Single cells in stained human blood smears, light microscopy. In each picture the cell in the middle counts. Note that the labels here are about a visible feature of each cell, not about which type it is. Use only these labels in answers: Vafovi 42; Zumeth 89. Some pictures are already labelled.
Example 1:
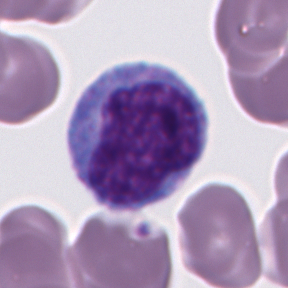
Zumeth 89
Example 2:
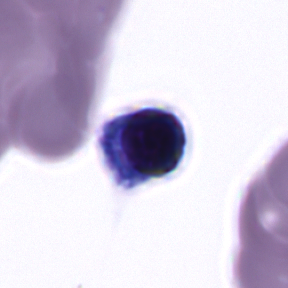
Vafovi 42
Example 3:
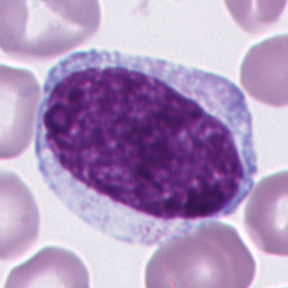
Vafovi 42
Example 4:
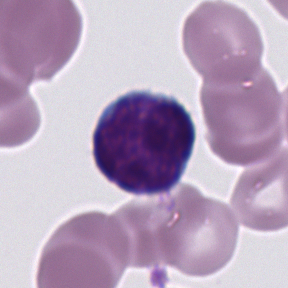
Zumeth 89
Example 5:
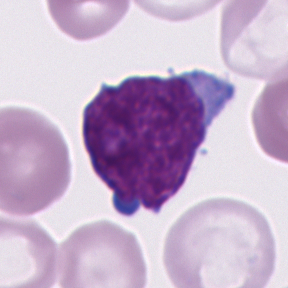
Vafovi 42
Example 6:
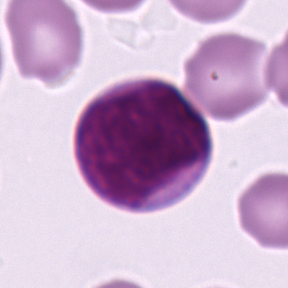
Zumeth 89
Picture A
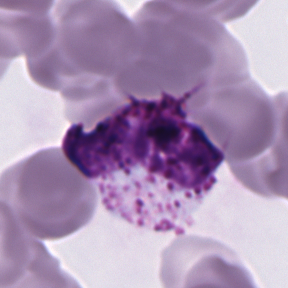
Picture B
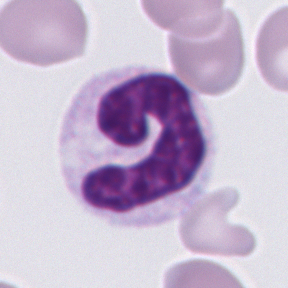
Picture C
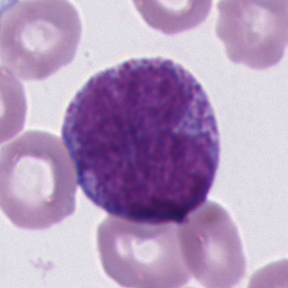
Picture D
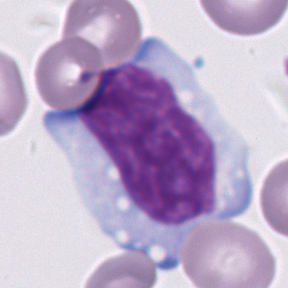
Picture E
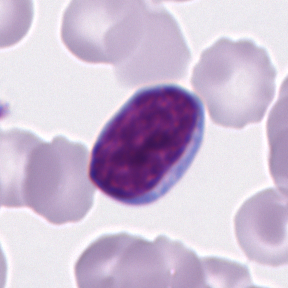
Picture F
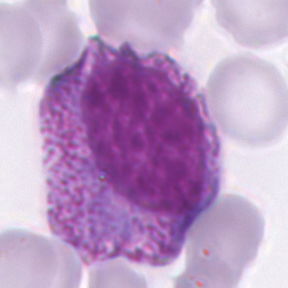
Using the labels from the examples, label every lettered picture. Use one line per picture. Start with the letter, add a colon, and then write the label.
A: Vafovi 42
B: Zumeth 89
C: Zumeth 89
D: Vafovi 42
E: Zumeth 89
F: Vafovi 42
